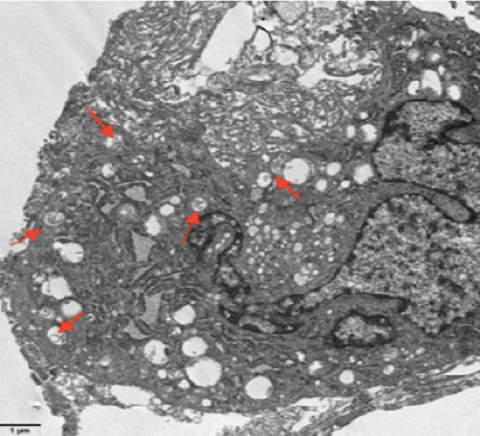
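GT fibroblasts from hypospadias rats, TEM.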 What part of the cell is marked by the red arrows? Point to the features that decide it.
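The arrows point to round membrane-bound vacuoles scattered in the cytoplasm. Some vacuoles hold small dense material inside a pale lumen. That points to this answer: autophagic lysosome.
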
